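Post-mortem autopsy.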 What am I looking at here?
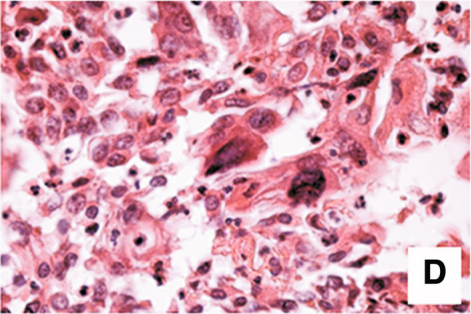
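Loosely cohesive, shed tumor cells lie scattered in small groups, with abundant pink cytoplasm and large oval nuclei bearing prominent nucleoli. Several cells have much larger, dark, irregular nuclei, and nuclear size and shape vary strongly across the field. Small, dense dark nuclei are interspersed between the larger cells.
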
